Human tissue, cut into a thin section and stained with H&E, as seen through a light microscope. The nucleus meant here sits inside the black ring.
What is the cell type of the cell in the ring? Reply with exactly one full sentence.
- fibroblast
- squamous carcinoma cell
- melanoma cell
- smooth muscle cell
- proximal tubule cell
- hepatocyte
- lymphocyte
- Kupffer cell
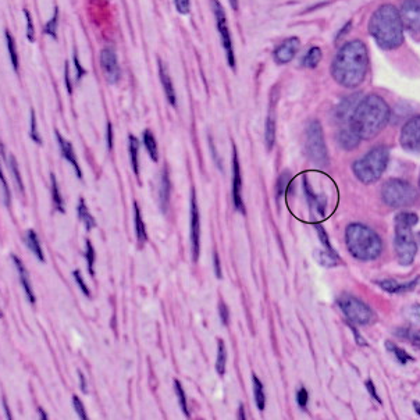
Within the stained tissue, the cell in the ring is a fibroblast.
